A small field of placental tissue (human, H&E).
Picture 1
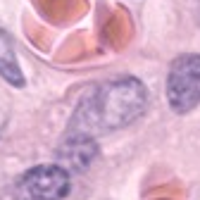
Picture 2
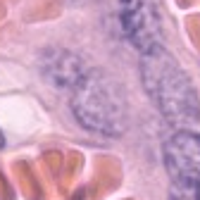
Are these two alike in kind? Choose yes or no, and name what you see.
Yes. Cytotrophoblasts.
